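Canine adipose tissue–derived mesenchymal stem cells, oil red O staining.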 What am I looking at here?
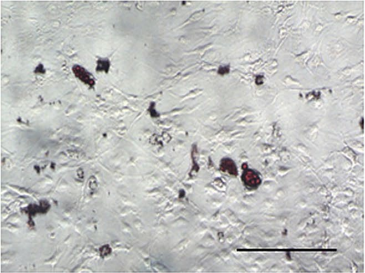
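A culture of pale, flattened, spindle-shaped and polygonal cells covers the field, seen mostly by their faint outlines. Scattered among them are small dark red to nearly black stained aggregates, some rounded and droplet-like, some irregular. The stained material is patchy, with most of the cell layer unstained between the aggregates.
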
